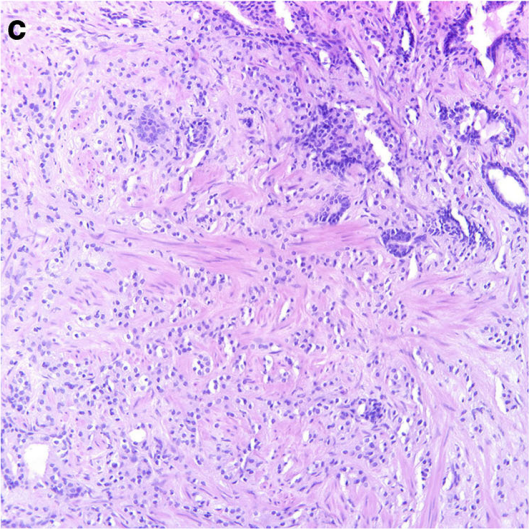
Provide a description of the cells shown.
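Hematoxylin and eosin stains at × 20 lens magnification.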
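This field of cancer shows pale tumor cells infiltrating pink fibromuscular stroma. Some cells gather in small gland-like nests, but many lie in thin strands or as single cells scattered between the stromal fibres. The tumor cells have small dark nuclei and pale to clear cytoplasm. Bundles of pink smooth-muscle-like stroma with elongated nuclei run across the field. At the upper right a few better formed glands with open lumina and darker lining cells are present, unlike the poorly formed nests below.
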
